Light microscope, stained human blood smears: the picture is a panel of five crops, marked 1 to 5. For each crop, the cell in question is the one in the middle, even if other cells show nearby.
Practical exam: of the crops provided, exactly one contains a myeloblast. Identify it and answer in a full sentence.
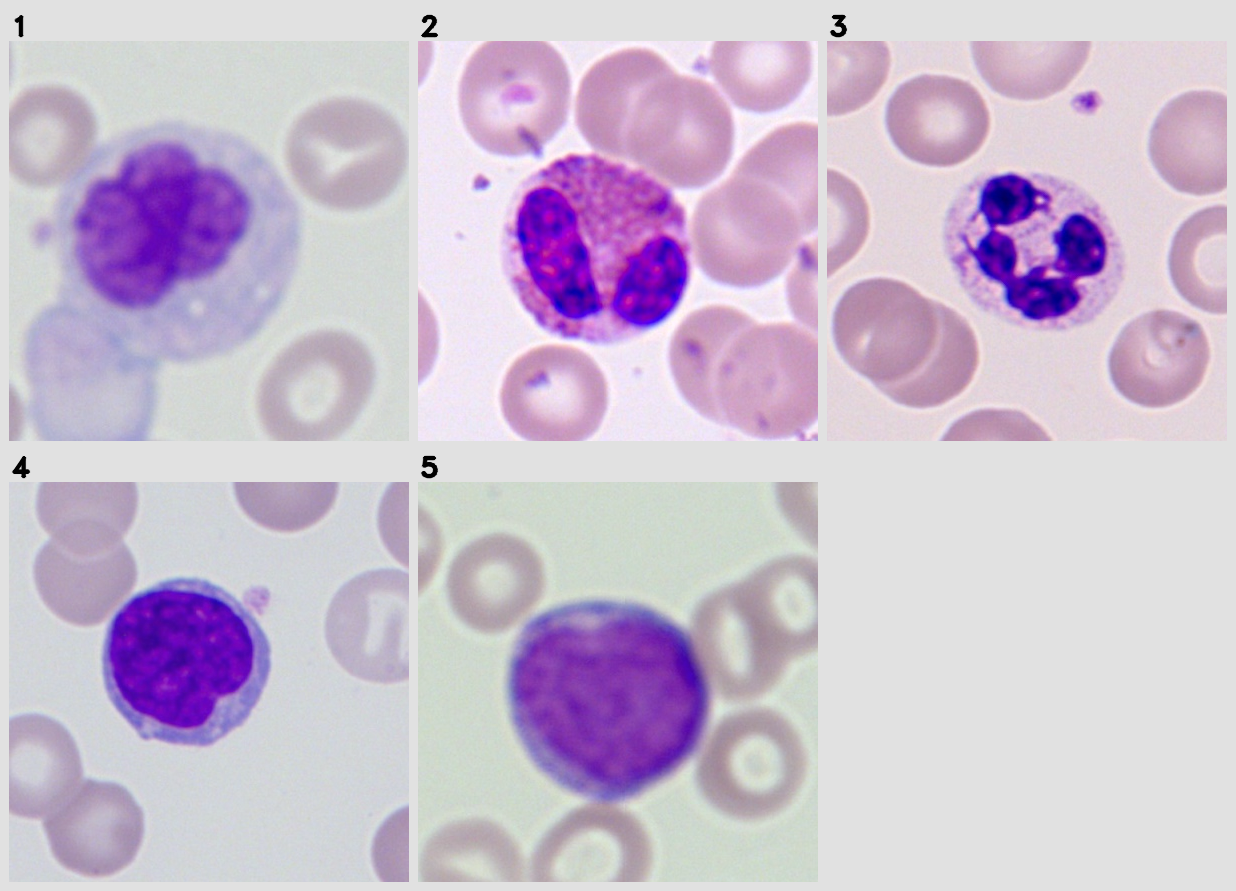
The crop with a myeloblast in it is crop 5.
